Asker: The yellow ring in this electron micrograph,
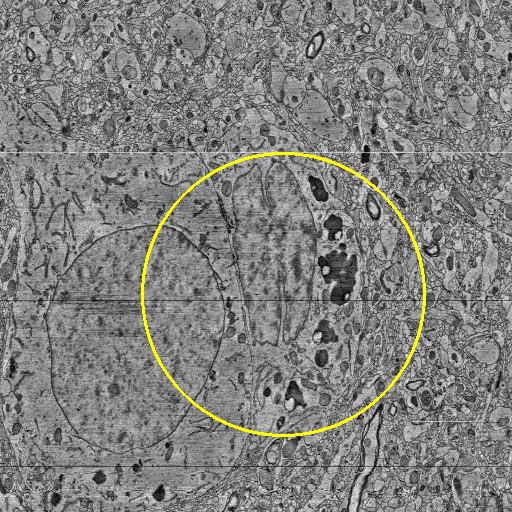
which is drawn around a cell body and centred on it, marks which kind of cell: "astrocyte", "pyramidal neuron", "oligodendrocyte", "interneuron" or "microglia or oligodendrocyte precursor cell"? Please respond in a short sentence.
The marked cell is an interneuron.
